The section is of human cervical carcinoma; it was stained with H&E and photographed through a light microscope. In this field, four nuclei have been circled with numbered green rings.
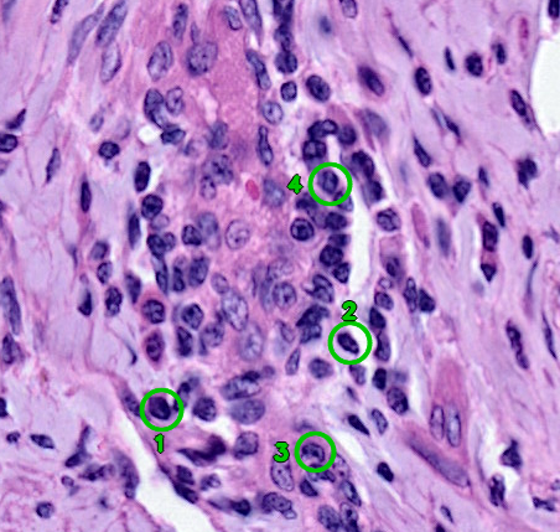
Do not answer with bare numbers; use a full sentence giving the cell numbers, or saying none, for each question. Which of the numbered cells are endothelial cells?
Among the labelled cells, only the cell labelled 3 is an endothelial cell.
